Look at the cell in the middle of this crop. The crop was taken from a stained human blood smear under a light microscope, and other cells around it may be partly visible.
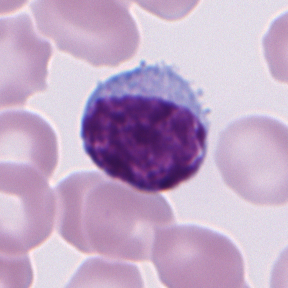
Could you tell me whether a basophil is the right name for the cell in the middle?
no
